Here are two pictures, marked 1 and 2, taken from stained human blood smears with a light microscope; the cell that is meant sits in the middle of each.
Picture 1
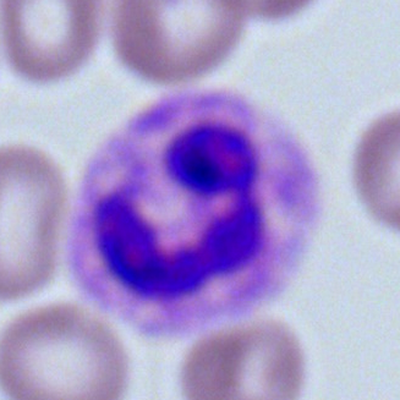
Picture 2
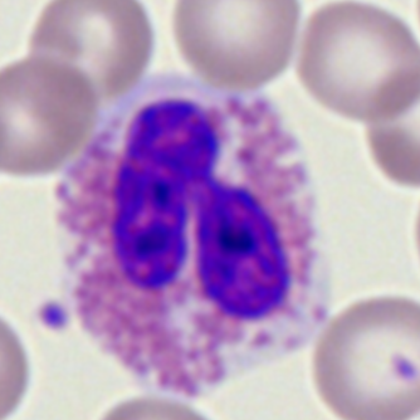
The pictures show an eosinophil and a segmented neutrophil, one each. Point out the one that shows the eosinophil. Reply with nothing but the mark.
2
